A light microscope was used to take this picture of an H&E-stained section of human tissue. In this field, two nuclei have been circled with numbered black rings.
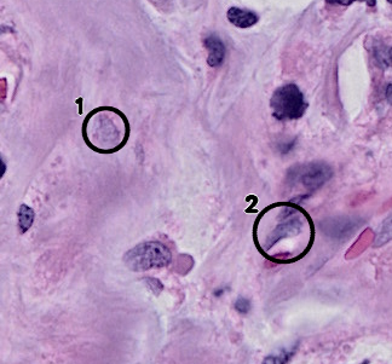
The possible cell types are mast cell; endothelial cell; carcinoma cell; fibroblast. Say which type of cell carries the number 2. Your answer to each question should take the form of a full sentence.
The nucleus marked 2 is the nucleus of an endothelial cell.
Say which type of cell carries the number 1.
The mark numbered 1 indicates the nucleus of a fibroblast.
